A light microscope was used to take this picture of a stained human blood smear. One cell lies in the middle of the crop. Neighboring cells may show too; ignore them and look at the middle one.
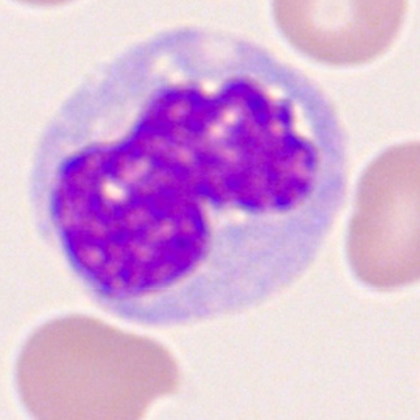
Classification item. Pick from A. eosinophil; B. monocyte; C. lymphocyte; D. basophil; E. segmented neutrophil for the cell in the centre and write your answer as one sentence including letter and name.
The right choice is option B: the cell in the middle is a monocyte.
